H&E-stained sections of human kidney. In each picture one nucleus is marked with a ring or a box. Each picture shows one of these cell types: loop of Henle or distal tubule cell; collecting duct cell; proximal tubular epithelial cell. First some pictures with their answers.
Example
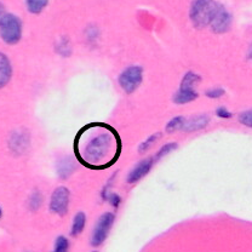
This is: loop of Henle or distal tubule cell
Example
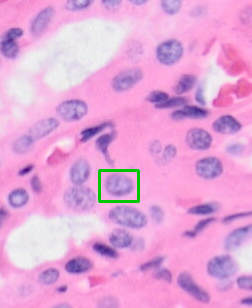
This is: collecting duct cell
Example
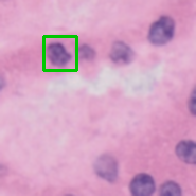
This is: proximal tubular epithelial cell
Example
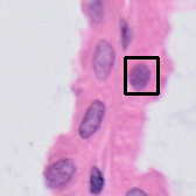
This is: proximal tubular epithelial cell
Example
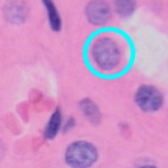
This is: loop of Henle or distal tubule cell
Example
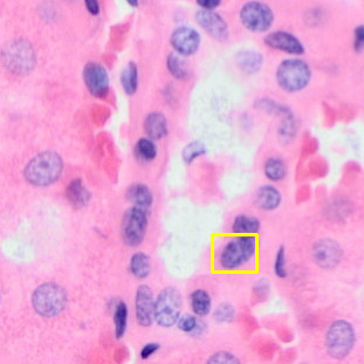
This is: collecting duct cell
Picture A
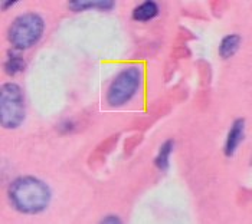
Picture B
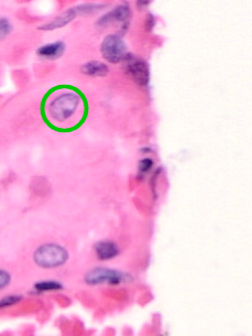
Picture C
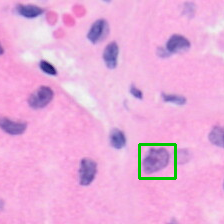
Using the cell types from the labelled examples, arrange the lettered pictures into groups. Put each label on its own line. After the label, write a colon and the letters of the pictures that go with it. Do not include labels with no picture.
loop of Henle or distal tubule cell: A
proximal tubular epithelial cell: B, C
